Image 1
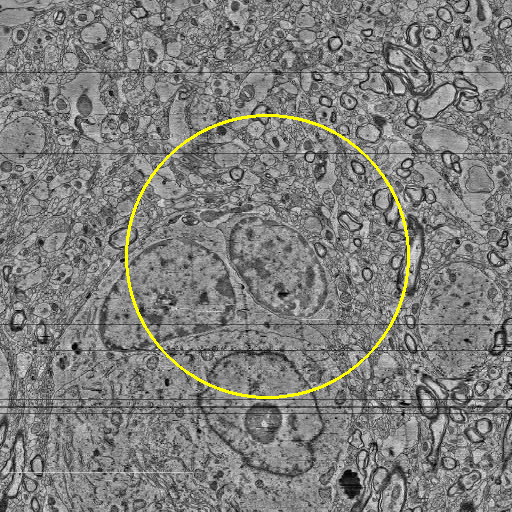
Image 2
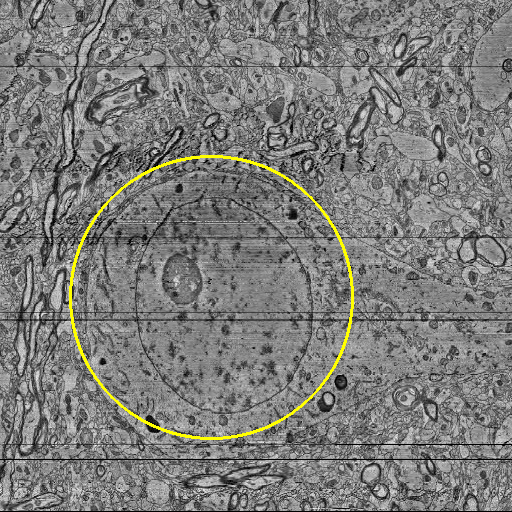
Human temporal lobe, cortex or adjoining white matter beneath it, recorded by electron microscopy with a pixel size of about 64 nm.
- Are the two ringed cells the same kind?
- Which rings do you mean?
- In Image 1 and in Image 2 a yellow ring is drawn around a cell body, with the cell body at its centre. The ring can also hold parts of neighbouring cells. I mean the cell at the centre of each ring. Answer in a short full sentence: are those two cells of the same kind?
No, the cells are of two kinds.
